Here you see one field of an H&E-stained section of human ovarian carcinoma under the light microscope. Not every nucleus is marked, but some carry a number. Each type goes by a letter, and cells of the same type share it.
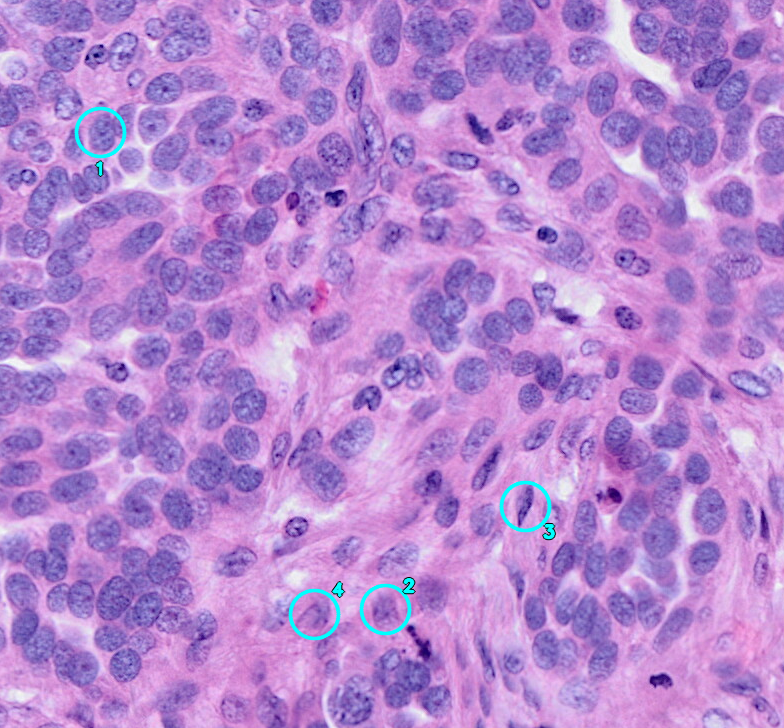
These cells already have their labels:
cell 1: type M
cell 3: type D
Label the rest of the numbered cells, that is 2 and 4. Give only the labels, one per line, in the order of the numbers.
type D
type D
